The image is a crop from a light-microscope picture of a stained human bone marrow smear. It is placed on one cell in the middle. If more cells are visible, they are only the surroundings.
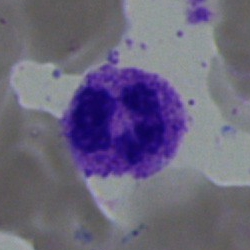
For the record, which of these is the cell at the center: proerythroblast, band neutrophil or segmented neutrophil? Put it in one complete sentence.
Located at the centre of the crop is a segmented neutrophil.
